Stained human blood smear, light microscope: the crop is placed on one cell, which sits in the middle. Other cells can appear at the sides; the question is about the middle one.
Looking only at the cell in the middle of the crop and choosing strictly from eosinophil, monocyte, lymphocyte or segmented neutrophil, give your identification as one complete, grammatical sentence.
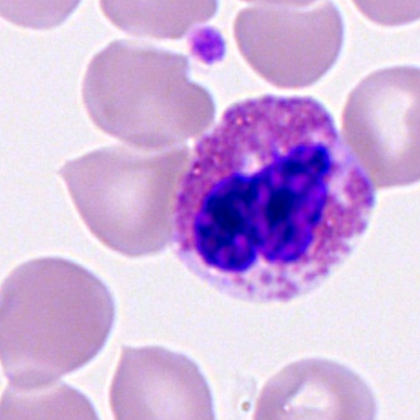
This crop has an eosinophil at its centre.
